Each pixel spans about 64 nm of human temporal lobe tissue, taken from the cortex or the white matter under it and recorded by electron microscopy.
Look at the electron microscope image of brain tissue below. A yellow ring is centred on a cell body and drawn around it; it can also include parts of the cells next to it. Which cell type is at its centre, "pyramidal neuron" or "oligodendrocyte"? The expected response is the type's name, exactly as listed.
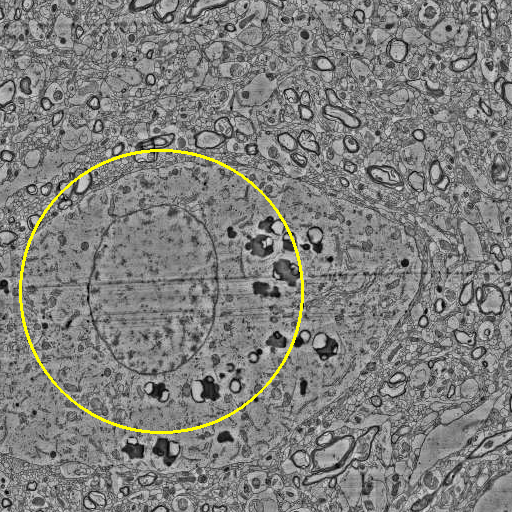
pyramidal neuron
